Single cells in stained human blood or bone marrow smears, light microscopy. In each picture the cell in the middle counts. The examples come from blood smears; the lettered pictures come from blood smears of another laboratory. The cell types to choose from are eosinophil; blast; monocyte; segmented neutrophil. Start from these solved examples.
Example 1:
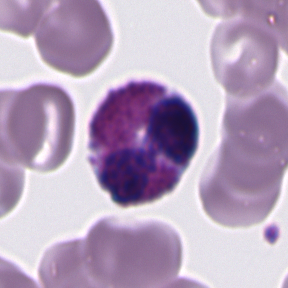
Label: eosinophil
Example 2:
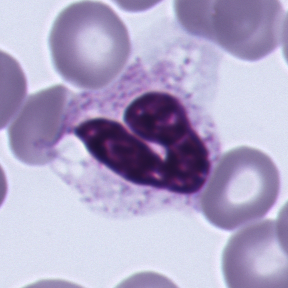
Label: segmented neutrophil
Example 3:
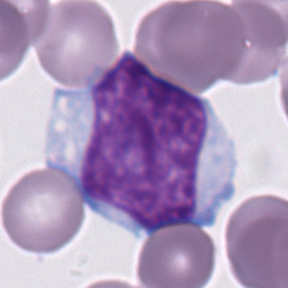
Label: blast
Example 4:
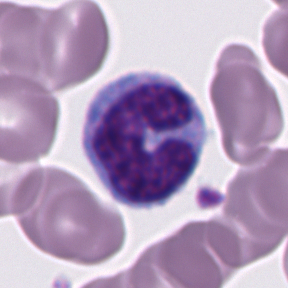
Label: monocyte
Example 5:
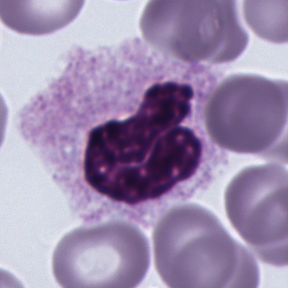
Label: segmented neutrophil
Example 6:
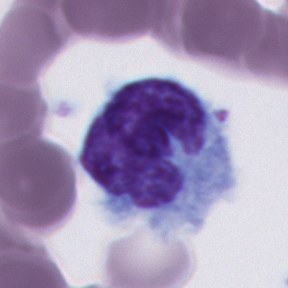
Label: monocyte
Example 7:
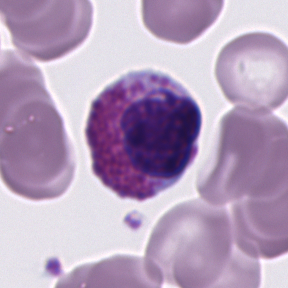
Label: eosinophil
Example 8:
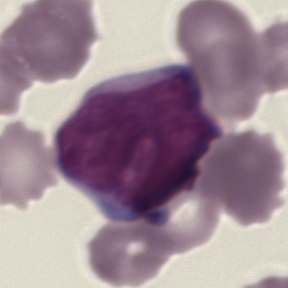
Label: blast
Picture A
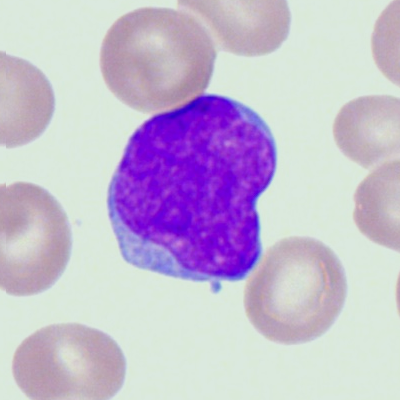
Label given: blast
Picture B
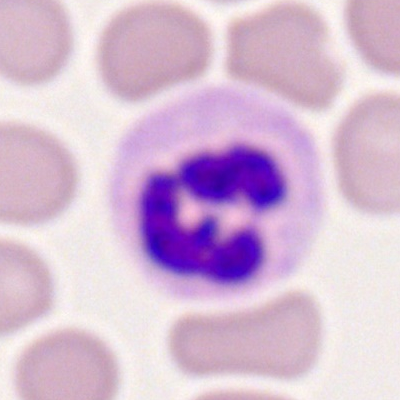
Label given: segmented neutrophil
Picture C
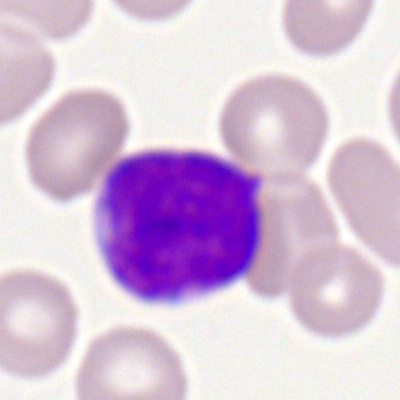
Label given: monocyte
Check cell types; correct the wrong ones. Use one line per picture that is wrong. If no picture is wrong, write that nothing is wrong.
C should be blast, not monocyte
